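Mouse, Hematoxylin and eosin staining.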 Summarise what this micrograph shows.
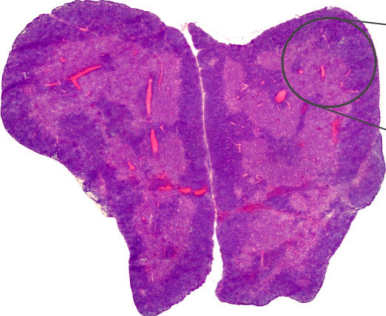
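This is a whole thymus seen at low magnification, with its two lobes lying side by side. In each lobe a densely packed, dark purple outer cortex surrounds paler, lighter purple inner medulla areas. Red-stained blood vessels run through the tissue.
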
